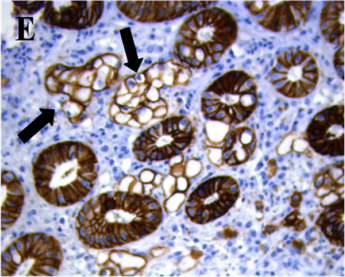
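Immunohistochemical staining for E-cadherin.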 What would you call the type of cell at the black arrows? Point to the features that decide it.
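The arrows point to a cluster of large cells filled with clear vacuoles. Their brown membrane outline is thinner and paler than that of the neighbouring glands. On this evidence: signet ring cells.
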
